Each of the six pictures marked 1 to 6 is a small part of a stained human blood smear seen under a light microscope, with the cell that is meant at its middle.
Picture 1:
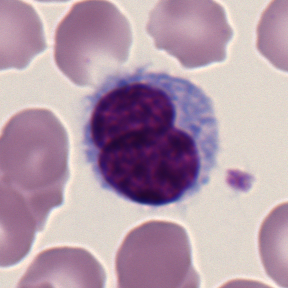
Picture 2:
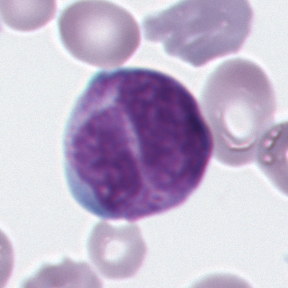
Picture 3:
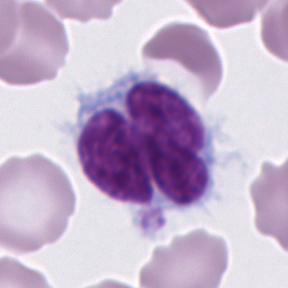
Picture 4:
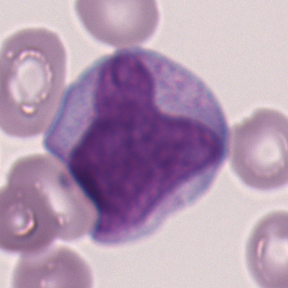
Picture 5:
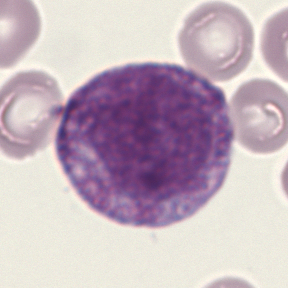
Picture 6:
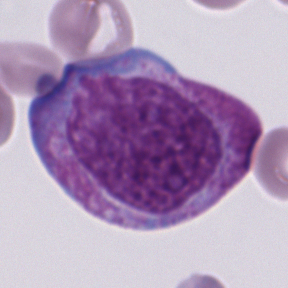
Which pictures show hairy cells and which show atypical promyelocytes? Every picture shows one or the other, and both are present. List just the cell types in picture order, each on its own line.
hairy cell
atypical promyelocyte
hairy cell
atypical promyelocyte
atypical promyelocyte
atypical promyelocyte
